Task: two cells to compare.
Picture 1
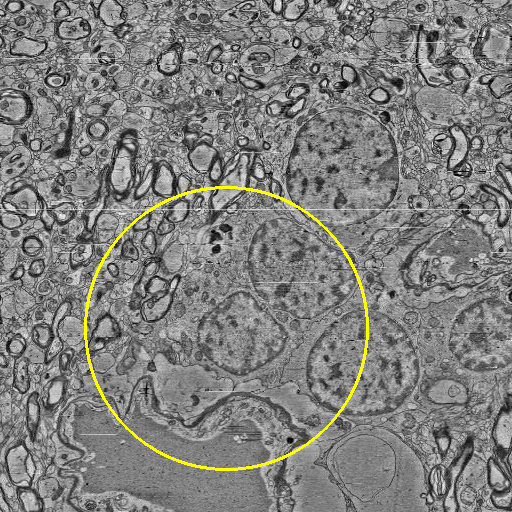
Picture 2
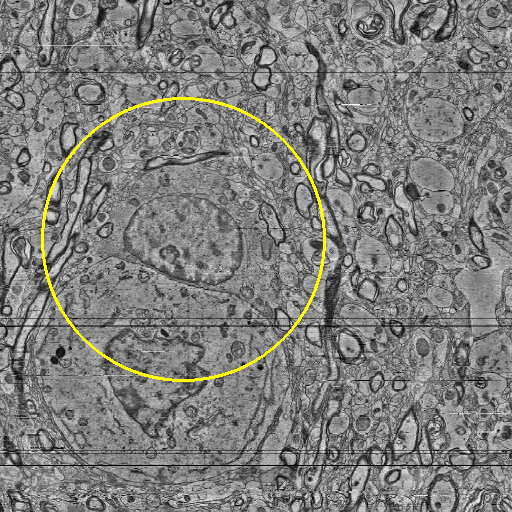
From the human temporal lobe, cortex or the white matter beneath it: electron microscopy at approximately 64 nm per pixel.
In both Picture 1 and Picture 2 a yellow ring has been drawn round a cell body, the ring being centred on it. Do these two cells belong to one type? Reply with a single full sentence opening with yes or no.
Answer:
Yes, the two cells at the ring centres in Picture 1 and Picture 2 share one type.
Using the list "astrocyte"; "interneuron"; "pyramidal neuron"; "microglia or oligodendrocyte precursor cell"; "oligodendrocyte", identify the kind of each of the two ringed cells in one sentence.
Both rings mark an oligodendrocyte, one in each picture.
